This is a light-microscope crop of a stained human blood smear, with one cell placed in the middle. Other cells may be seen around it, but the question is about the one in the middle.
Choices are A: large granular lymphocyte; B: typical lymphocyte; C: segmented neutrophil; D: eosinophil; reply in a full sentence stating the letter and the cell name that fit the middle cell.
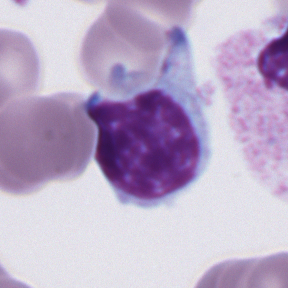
Option B is correct; the cell in the middle is a typical lymphocyte.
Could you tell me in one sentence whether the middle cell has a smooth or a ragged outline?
Not smooth, the outline of the cell is ragged or drawn out into projections.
